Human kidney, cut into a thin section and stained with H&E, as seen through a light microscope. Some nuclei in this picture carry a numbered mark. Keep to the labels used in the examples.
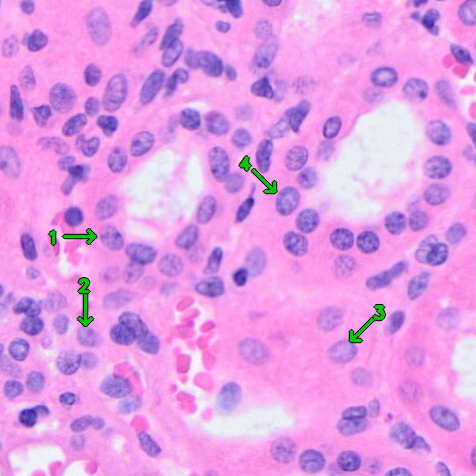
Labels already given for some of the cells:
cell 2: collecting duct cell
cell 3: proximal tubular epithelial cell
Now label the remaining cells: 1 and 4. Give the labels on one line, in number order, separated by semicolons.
collecting duct cell; collecting duct cell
